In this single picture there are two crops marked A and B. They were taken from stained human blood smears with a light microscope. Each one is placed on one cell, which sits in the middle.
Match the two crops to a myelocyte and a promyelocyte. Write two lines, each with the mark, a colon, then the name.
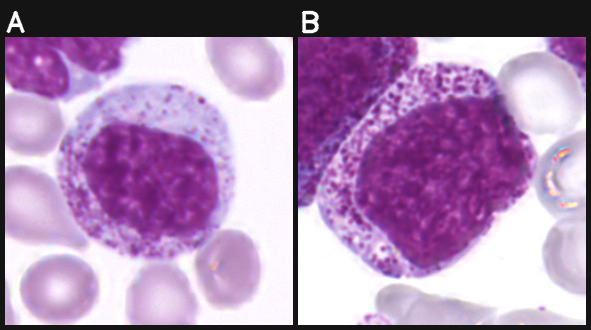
A: myelocyte
B: promyelocyte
